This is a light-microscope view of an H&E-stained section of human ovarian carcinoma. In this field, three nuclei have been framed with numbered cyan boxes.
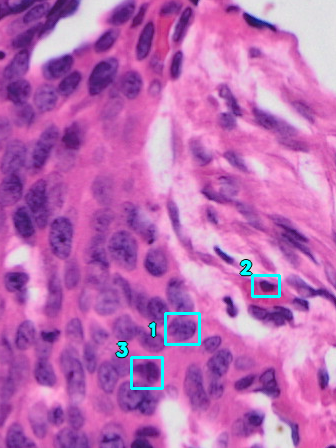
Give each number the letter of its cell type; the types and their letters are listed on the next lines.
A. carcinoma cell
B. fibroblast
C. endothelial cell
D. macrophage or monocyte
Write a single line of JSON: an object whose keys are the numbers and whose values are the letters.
{"1": "A", "2": "C", "3": "A"}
